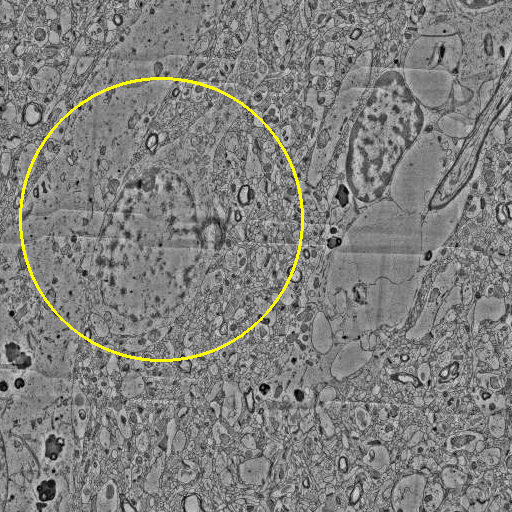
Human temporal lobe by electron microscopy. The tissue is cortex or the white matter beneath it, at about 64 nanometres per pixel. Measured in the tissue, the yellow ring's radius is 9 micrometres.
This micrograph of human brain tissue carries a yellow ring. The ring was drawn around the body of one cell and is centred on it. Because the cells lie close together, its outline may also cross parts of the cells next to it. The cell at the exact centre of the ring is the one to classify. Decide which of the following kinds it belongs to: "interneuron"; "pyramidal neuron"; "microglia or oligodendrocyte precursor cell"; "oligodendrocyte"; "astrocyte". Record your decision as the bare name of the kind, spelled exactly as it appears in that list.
interneuron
